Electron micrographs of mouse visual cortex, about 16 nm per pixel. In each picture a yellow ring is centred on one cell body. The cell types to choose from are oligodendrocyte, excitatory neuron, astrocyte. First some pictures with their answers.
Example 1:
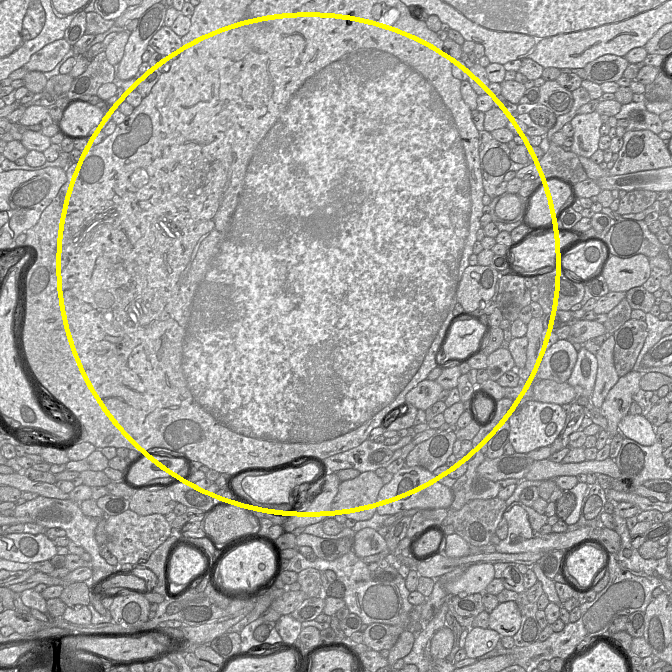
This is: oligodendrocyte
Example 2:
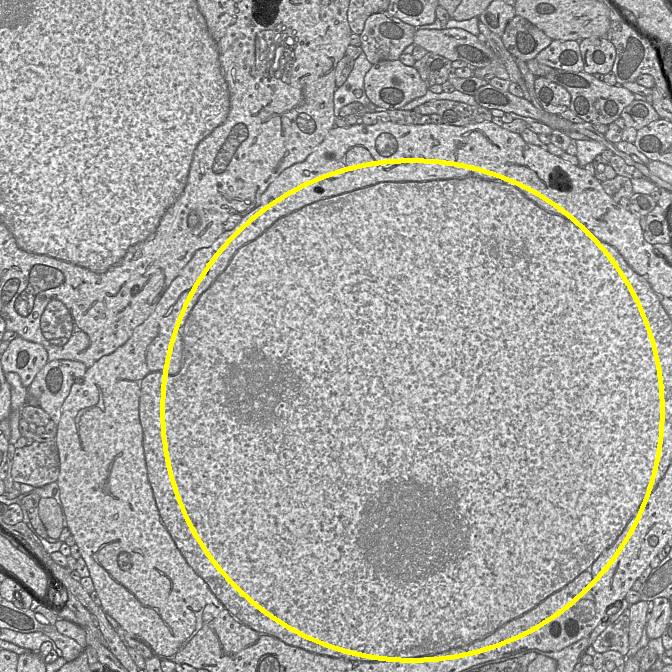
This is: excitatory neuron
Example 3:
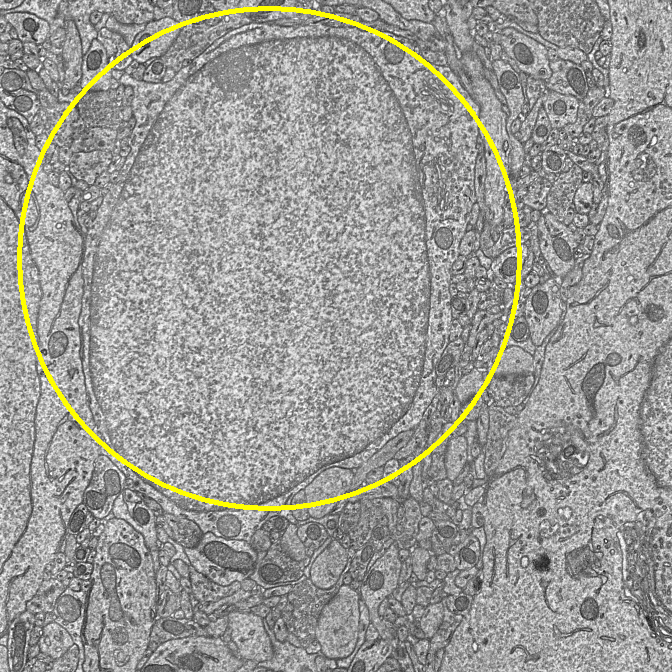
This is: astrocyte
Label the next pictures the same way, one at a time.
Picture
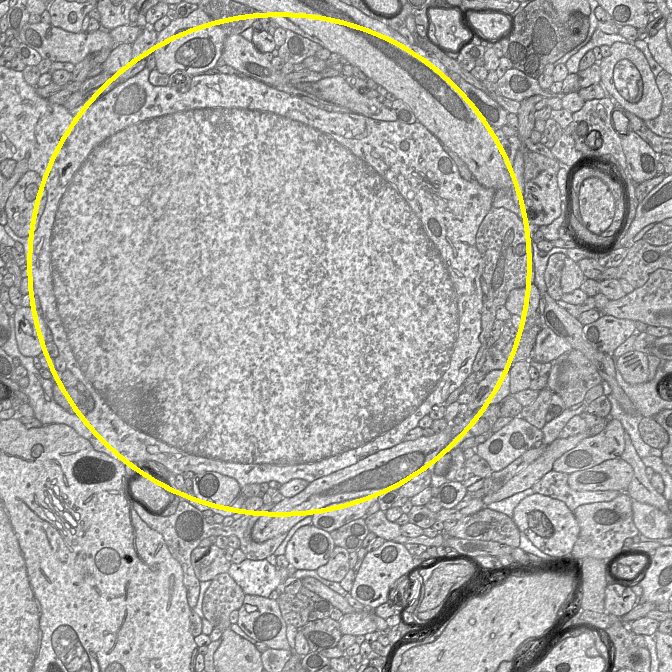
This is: astrocyte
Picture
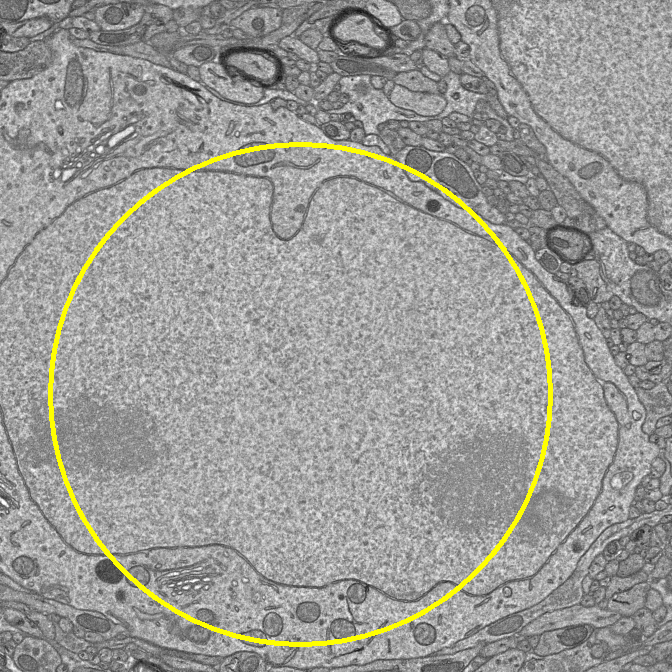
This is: excitatory neuron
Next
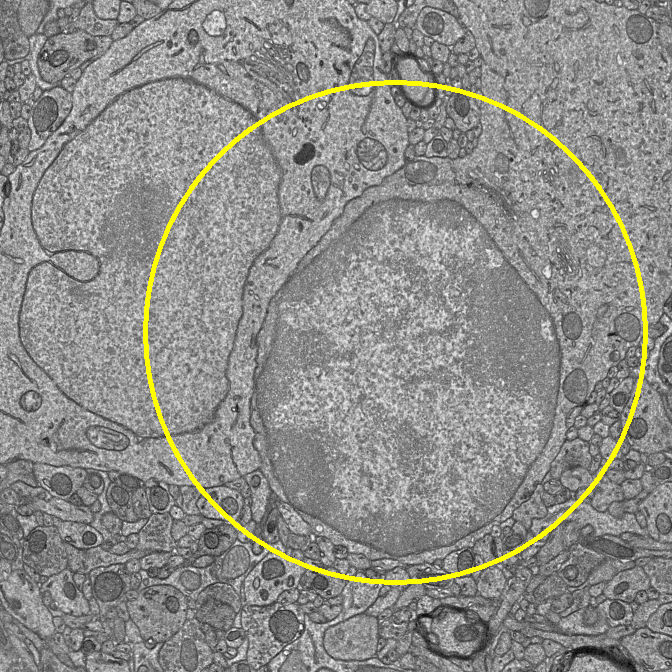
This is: oligodendrocyte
